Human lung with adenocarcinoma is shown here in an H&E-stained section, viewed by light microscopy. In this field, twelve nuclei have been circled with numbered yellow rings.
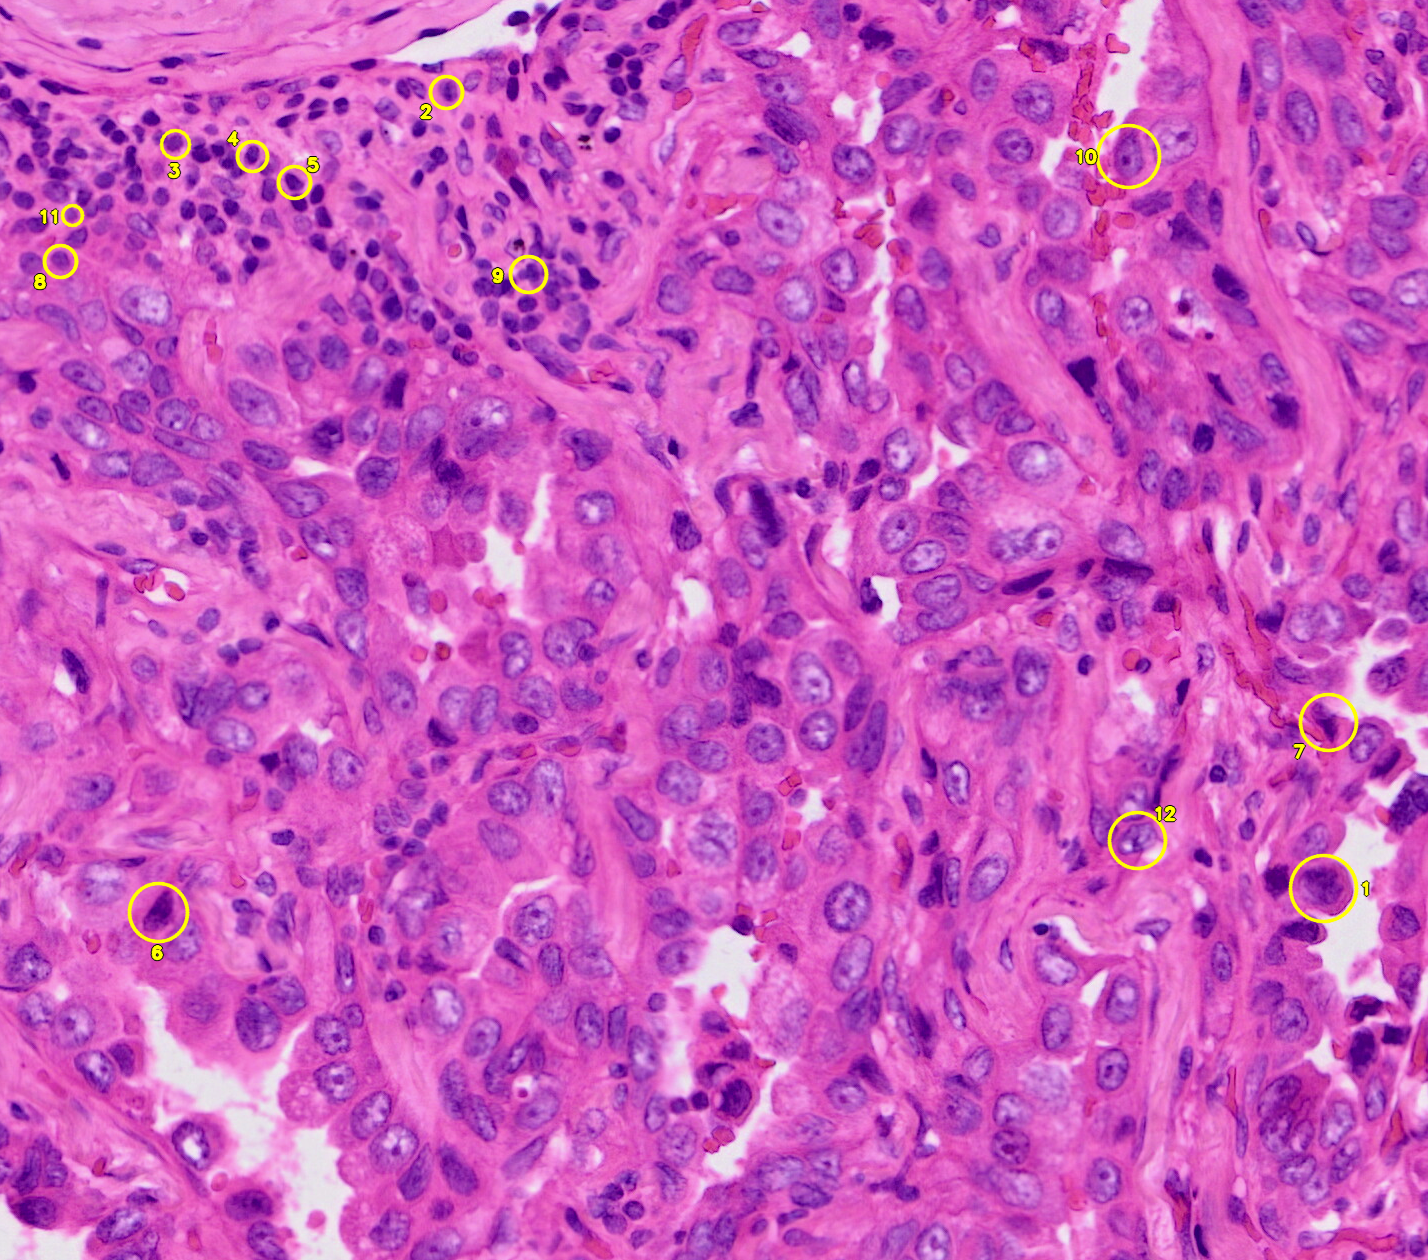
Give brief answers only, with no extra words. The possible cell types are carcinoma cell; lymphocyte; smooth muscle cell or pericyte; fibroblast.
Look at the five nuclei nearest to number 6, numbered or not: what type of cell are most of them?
carcinoma cell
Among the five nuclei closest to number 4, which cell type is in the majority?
lymphocyte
